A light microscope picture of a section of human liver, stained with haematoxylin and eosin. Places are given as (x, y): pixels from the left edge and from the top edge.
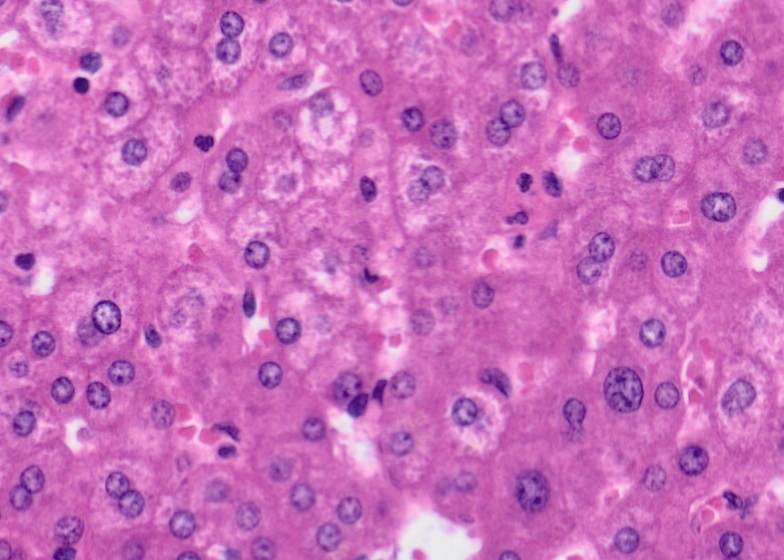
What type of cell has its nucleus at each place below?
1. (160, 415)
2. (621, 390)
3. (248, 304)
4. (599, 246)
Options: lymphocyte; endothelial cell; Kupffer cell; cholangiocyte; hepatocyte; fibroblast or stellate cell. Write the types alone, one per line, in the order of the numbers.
hepatocyte
hepatocyte
lymphocyte
hepatocyte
